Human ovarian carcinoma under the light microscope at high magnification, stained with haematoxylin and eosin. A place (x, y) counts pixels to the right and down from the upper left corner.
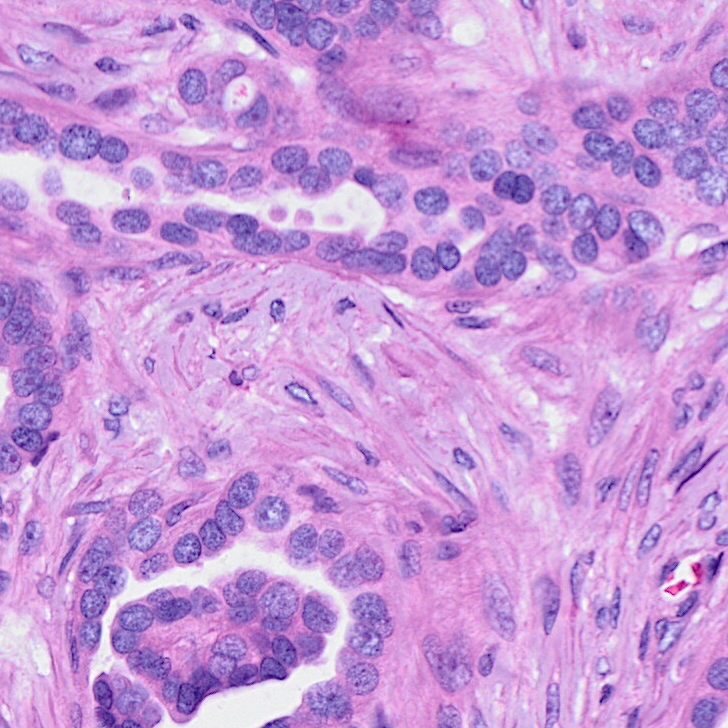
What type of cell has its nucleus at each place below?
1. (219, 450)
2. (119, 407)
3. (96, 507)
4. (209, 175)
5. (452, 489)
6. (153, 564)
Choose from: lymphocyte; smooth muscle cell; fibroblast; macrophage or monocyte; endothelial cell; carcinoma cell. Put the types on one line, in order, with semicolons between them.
fibroblast; fibroblast; fibroblast; carcinoma cell; fibroblast; carcinoma cell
